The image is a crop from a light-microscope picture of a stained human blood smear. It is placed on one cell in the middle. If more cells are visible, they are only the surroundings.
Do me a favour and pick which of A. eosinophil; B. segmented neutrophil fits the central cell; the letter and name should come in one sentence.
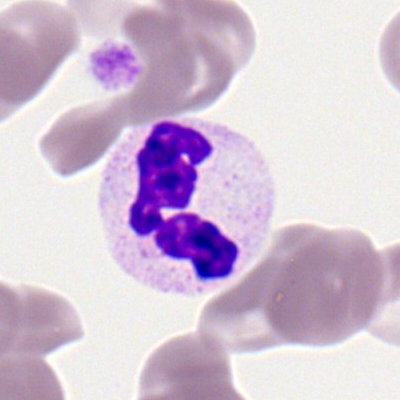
Located in the middle of the crop is a segmented neutrophil, and option B is therefore correct.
